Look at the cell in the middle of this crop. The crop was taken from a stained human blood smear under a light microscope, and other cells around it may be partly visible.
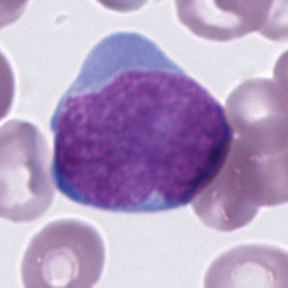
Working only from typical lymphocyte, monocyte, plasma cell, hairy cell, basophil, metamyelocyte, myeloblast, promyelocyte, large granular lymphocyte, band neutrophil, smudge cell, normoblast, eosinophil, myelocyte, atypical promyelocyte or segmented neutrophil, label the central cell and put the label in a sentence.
The cell featured at the centre of this crop is a myeloblast.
